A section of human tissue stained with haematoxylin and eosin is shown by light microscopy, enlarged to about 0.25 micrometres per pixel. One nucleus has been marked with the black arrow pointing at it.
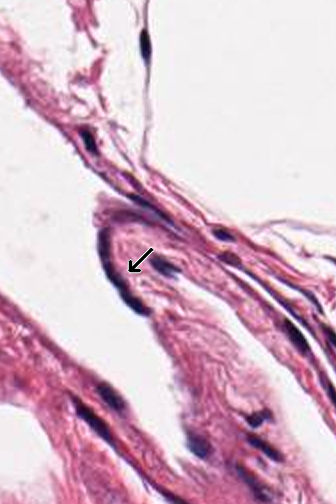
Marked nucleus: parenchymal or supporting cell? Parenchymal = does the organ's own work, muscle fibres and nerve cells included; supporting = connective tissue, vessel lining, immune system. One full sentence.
A supporting cell is the owner of the marked nucleus.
